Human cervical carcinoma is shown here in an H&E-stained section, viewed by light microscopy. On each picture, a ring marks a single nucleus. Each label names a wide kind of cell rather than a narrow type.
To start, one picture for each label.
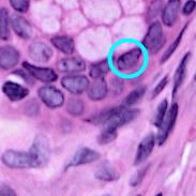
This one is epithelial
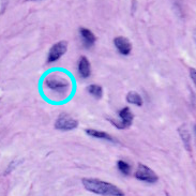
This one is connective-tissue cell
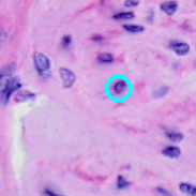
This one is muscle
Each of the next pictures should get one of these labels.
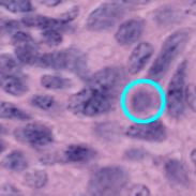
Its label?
epithelial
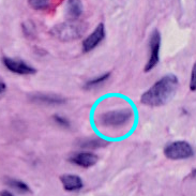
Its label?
connective-tissue cell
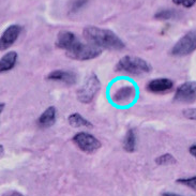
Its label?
connective-tissue cell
